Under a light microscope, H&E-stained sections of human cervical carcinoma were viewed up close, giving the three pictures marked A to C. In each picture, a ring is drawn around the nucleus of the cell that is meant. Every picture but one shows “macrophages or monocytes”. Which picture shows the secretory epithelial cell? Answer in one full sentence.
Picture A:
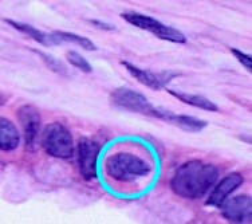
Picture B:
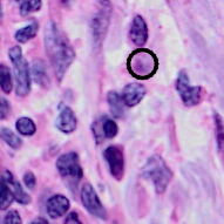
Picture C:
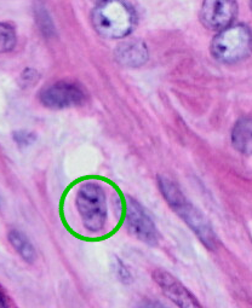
Picture A shows the secretory epithelial cell.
